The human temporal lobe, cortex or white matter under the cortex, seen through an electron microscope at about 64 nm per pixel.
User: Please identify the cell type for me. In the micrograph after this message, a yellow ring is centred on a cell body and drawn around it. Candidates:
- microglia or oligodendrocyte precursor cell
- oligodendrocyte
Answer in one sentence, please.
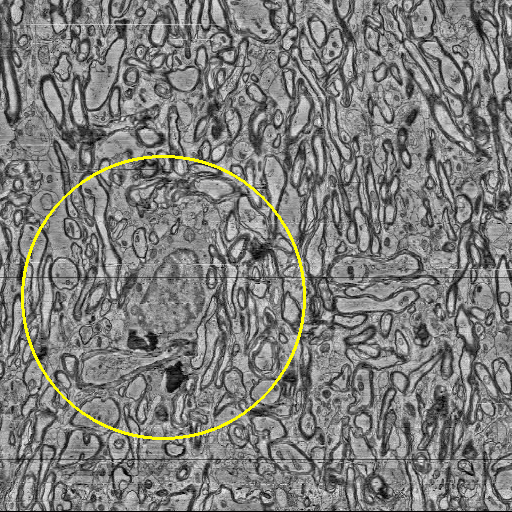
The ring is drawn around the cell body of an oligodendrocyte.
